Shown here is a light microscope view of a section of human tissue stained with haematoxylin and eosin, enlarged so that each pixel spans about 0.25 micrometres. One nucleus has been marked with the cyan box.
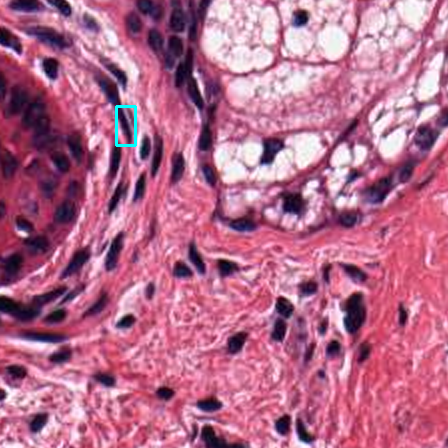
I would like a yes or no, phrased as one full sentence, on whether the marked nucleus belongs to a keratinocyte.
No, the marked nucleus forms part of a supporting cell instead of a keratinocyte.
